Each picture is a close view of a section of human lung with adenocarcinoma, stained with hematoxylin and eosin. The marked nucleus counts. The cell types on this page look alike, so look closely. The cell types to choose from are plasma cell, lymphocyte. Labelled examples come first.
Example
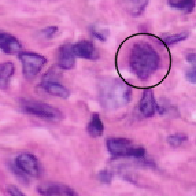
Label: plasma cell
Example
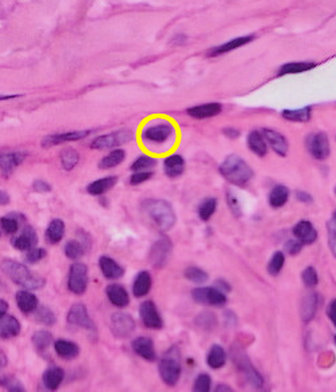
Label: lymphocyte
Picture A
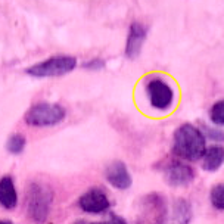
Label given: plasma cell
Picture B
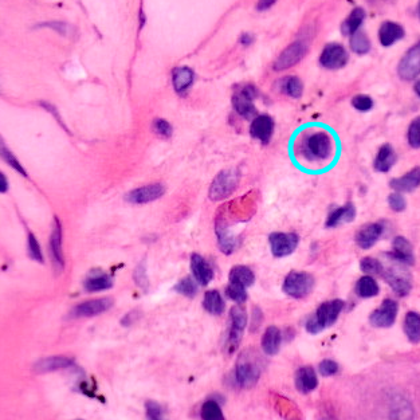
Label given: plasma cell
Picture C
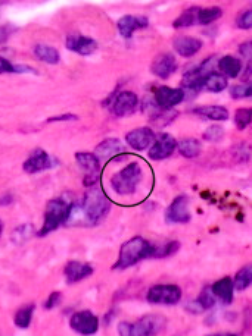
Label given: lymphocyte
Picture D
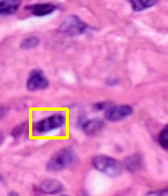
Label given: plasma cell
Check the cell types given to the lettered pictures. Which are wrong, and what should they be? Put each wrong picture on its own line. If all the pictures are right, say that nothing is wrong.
A: lymphocyte, not plasma cell
B: lymphocyte, not plasma cell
